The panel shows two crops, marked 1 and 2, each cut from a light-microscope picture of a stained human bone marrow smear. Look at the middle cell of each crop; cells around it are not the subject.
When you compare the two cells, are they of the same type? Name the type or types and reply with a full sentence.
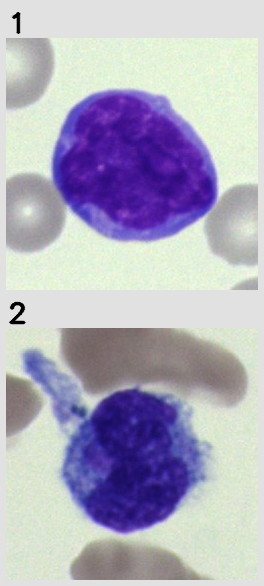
No, crop 1 depicts a blast; crop 2 depicts a monocyte.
